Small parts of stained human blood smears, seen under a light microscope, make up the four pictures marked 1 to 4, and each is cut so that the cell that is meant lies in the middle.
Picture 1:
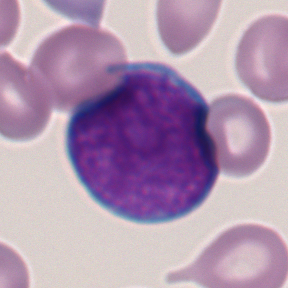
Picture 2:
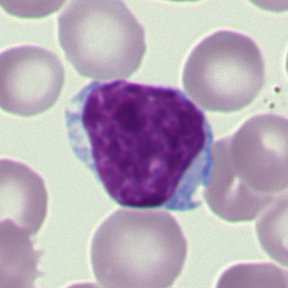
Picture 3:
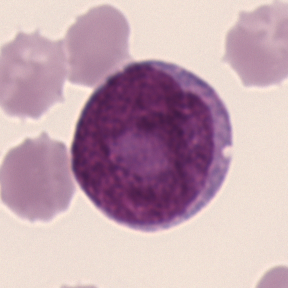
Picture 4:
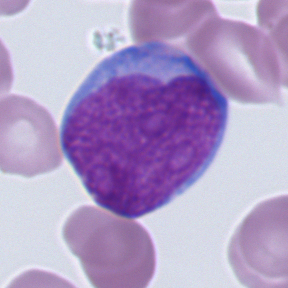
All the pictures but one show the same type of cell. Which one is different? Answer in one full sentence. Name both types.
The others show myeloblasts, but picture 2 shows a typical lymphocyte.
